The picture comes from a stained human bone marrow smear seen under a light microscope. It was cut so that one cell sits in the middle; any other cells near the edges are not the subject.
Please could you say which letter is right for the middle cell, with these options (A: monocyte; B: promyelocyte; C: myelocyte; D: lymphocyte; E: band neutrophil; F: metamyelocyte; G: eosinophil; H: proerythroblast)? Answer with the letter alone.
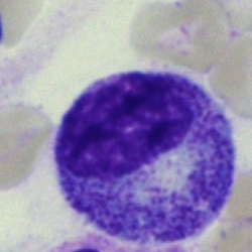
B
